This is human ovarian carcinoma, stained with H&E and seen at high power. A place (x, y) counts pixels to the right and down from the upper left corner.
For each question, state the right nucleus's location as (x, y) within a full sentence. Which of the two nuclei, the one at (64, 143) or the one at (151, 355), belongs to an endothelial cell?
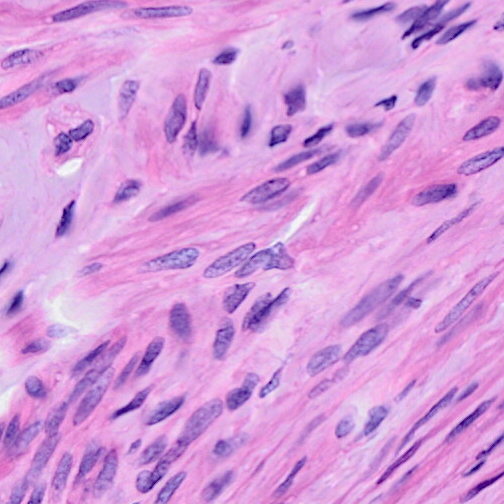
Of the two nuclei, the nucleus of an endothelial cell is at (64, 143).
